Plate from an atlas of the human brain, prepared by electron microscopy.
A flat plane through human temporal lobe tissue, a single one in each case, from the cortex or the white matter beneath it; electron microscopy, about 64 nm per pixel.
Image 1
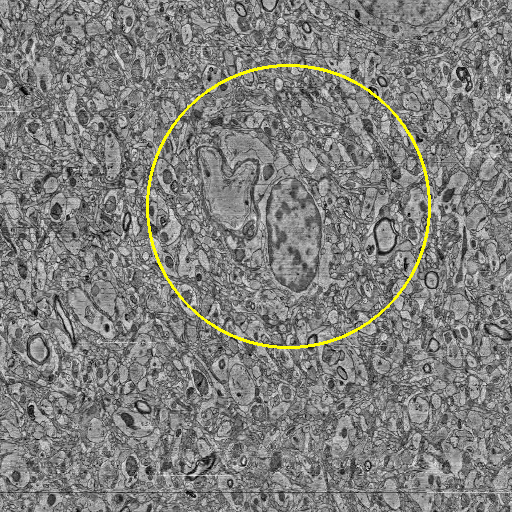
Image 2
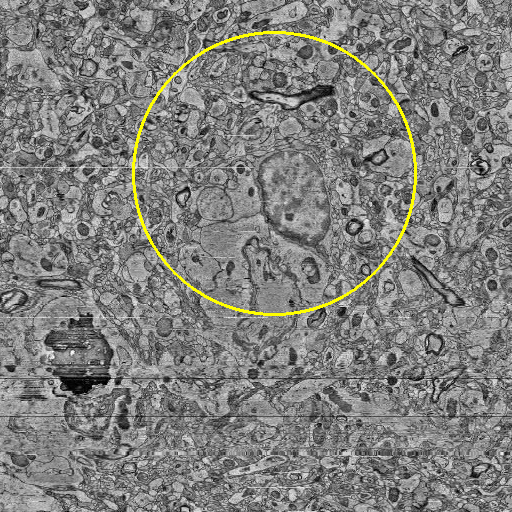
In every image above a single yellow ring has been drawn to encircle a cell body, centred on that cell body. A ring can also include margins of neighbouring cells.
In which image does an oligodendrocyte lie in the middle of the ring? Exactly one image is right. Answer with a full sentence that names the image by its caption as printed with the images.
Image 2 holds the requested cell at the very centre of its ring.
